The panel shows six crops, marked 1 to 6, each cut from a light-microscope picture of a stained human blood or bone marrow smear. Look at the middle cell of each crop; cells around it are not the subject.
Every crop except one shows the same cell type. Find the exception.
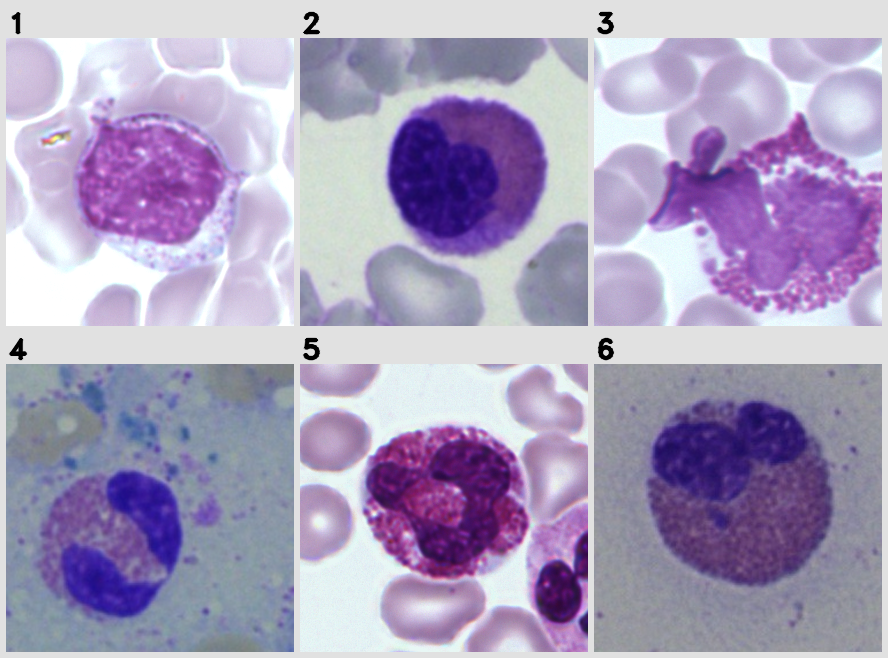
1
